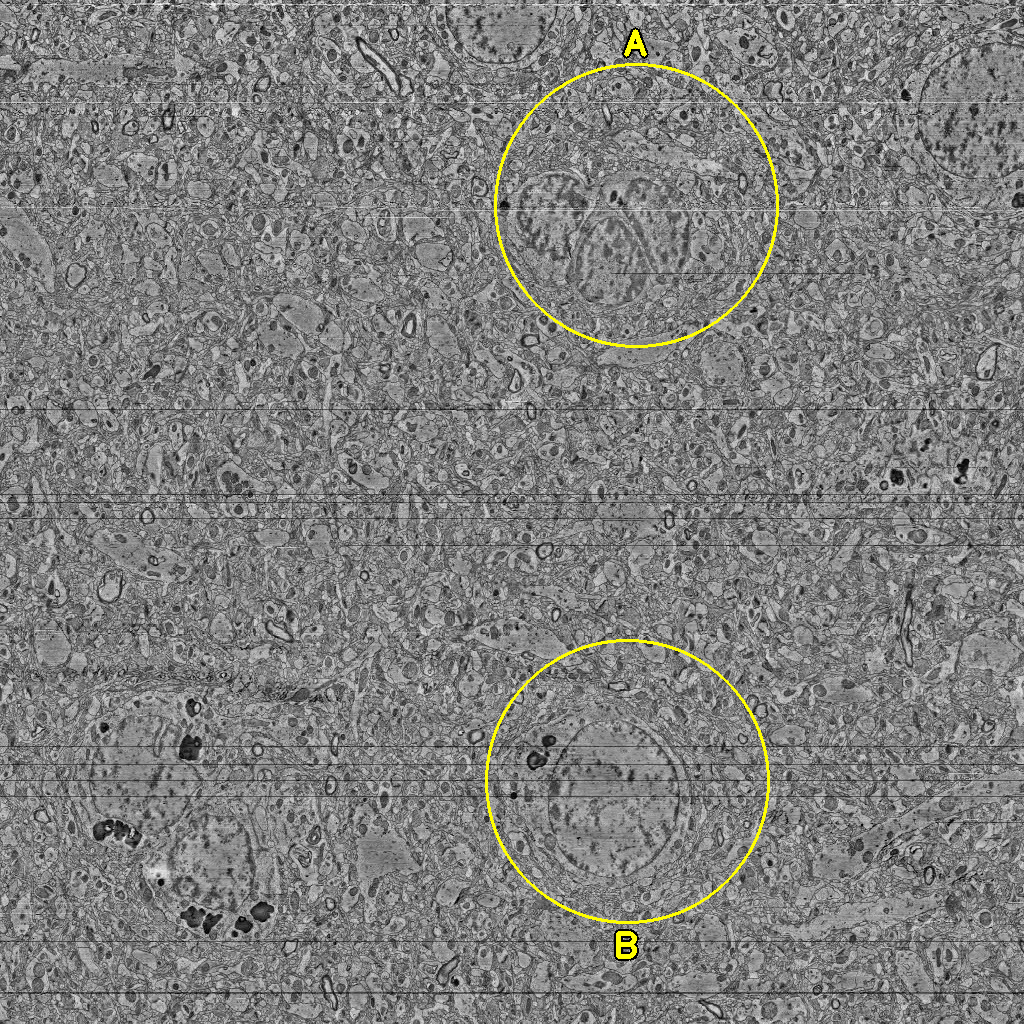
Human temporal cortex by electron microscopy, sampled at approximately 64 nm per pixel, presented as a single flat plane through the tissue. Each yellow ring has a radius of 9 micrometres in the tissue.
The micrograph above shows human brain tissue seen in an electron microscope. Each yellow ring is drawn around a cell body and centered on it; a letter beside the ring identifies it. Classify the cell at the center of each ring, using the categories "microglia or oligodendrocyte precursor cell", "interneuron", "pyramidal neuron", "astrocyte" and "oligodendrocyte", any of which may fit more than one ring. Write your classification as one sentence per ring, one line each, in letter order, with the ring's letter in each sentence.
Ring A is centered on an oligodendrocyte.
Ring B is centered on a pyramidal neuron.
